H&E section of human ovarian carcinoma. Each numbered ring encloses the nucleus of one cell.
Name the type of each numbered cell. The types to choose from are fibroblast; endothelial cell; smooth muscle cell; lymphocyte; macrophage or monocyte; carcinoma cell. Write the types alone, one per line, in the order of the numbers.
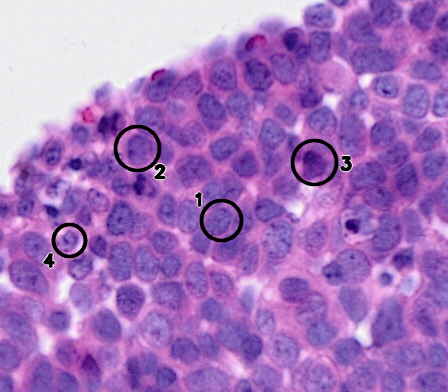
carcinoma cell
carcinoma cell
carcinoma cell
macrophage or monocyte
